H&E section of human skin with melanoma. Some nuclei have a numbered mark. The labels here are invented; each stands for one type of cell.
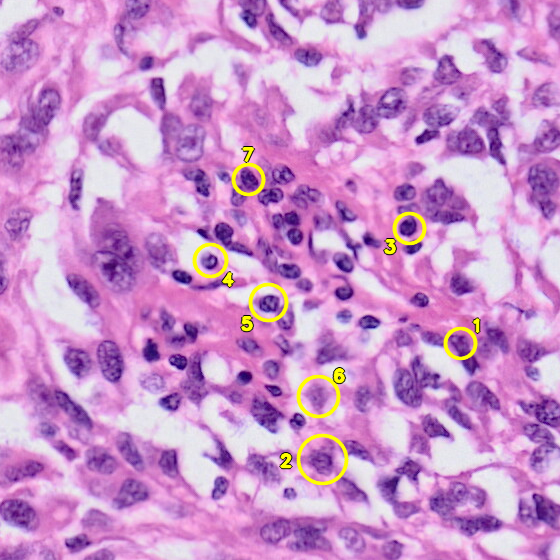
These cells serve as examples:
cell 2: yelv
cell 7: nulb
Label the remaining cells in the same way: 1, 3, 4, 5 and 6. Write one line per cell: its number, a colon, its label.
1: yelv
3: nulb
4: nulb
5: nulb
6: yelv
